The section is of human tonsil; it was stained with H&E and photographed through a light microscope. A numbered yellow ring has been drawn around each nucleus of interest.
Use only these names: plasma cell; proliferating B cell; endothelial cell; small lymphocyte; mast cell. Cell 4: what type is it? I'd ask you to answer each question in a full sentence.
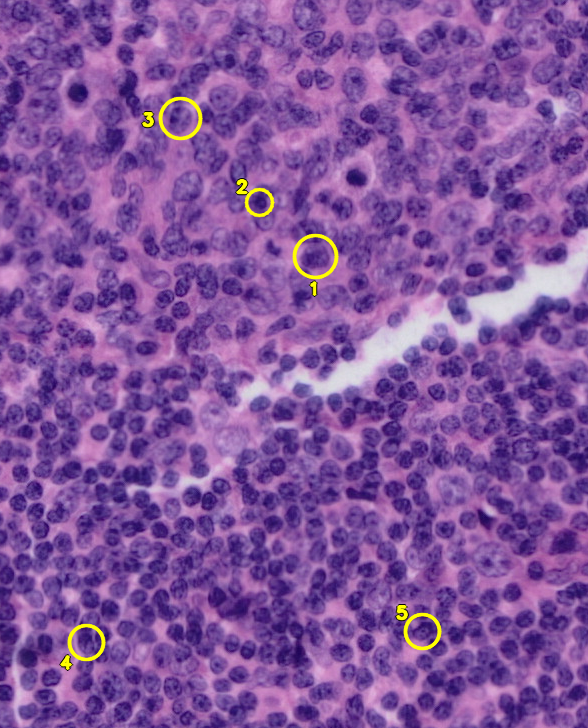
The cell bearing label 4 corresponds to a small lymphocyte.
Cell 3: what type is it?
Belonging to a proliferating B cell is the nucleus that carries the number 3.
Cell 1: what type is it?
Cell 1 of the marked set is a proliferating B cell.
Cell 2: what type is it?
Cell 2 in the field of view is a proliferating B cell.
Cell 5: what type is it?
The cell referred to as 5 is a small lymphocyte.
